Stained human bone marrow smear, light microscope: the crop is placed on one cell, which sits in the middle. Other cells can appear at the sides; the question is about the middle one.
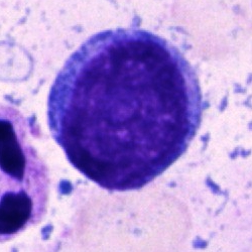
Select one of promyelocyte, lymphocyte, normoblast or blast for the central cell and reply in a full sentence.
At the center of the crop sits a blast.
